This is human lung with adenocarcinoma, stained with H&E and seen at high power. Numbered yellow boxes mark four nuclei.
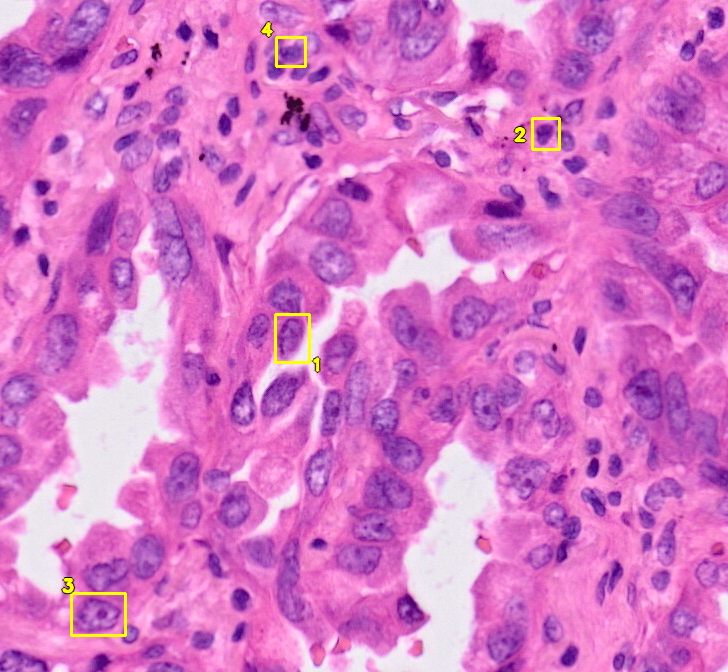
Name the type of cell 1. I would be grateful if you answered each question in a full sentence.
Classified as a carcinoma cell is the cell with the number 1.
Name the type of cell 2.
Of the numbered cells, the one labelled 2 is a lymphocyte.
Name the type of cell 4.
The cell that bears the number 4 is a lymphocyte.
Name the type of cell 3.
Cell 3, as marked in the section, is a carcinoma cell.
